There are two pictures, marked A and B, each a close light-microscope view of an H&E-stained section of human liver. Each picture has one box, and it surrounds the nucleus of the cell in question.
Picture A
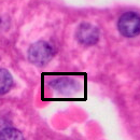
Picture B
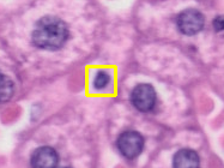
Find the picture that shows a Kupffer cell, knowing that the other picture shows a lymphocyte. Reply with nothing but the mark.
A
